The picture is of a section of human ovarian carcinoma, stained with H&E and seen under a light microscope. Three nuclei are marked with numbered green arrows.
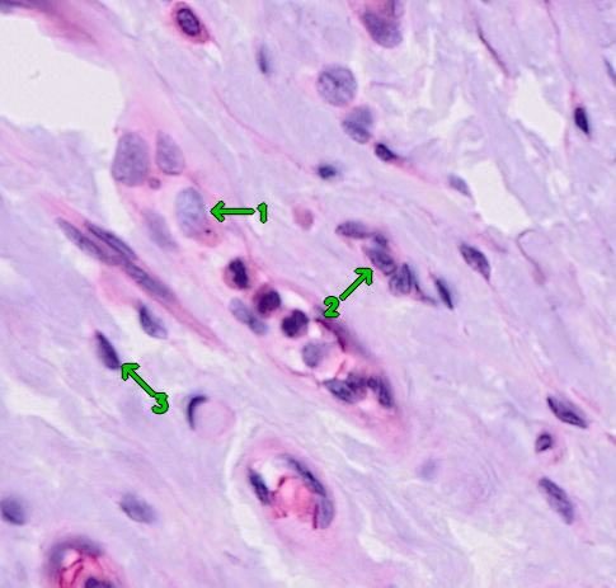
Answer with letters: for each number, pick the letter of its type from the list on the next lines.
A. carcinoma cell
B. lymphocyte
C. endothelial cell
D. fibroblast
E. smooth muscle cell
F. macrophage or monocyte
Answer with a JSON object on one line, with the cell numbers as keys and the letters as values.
{"1": "C", "2": "C", "3": "D"}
